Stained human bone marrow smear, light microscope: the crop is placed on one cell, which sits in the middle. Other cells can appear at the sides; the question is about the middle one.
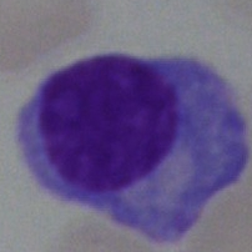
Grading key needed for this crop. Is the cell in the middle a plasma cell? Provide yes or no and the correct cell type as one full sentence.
Yes, a plasma cell is present in the middle of the crop.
